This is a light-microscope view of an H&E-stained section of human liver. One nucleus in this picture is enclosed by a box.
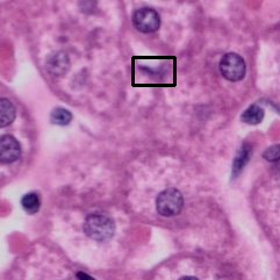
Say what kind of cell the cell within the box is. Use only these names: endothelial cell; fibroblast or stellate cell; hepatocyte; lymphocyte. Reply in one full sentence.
Considered by cell type, the cell within the box is an endothelial cell.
